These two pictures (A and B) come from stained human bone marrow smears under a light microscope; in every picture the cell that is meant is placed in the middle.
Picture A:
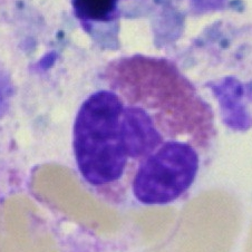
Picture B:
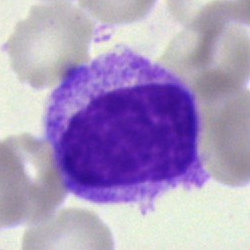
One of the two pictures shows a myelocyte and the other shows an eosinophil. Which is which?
A: eosinophil
B: myelocyte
